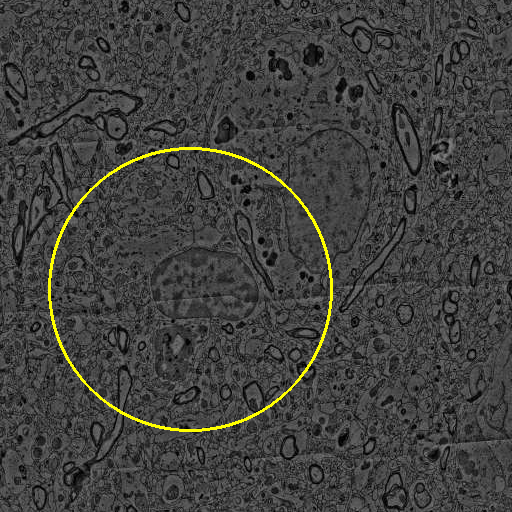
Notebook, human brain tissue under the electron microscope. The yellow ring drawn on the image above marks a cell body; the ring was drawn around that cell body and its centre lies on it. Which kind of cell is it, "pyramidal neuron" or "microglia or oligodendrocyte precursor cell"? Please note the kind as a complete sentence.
The marked cell body is that of a microglial cell or oligodendrocyte precursor cell.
